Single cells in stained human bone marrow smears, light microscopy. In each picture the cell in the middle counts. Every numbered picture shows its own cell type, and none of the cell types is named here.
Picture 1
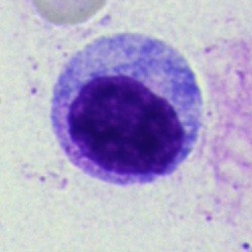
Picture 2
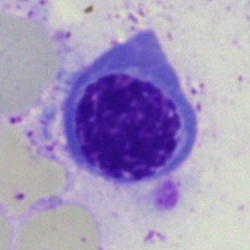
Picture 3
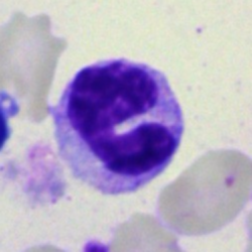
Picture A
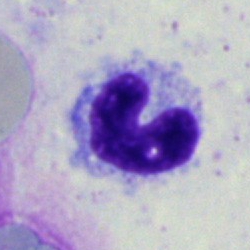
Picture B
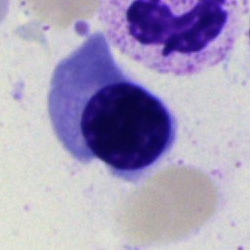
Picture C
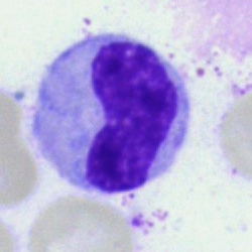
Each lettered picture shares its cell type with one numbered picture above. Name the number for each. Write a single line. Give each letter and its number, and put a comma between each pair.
A 3, B 2, C 3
